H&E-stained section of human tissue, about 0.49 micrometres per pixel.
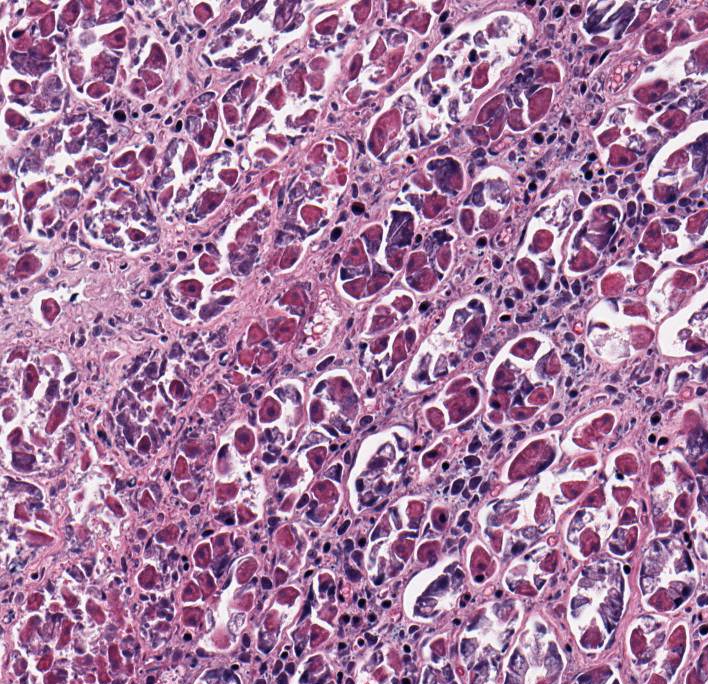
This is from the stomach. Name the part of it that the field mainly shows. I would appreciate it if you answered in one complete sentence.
The part of the tissue seen in this section is fundic glands.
